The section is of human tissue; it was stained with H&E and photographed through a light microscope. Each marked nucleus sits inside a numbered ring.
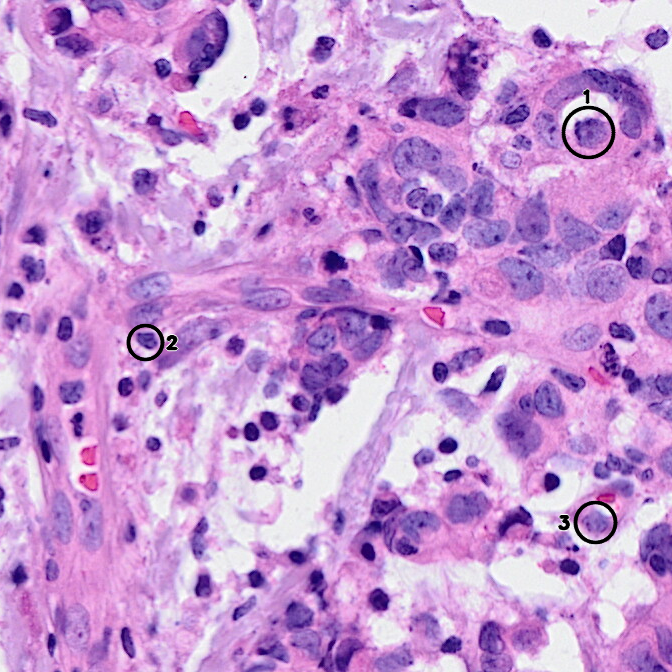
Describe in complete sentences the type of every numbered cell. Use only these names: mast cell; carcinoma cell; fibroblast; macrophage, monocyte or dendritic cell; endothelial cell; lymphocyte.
Cell 1 is a carcinoma cell, cell 2 is a lymphocyte and cell 3 is an endothelial cell.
